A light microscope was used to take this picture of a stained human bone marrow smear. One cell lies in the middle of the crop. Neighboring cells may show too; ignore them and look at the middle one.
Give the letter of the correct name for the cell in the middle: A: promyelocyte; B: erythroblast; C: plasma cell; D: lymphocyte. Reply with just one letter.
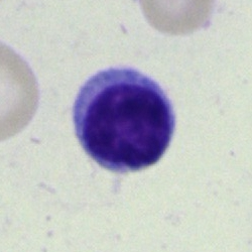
D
